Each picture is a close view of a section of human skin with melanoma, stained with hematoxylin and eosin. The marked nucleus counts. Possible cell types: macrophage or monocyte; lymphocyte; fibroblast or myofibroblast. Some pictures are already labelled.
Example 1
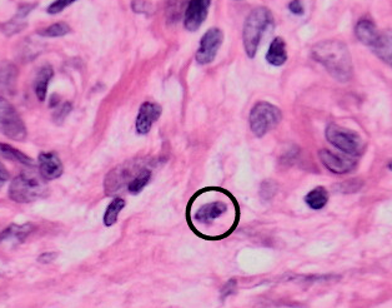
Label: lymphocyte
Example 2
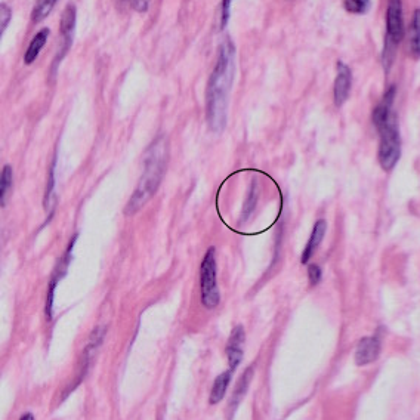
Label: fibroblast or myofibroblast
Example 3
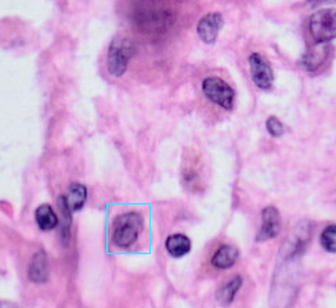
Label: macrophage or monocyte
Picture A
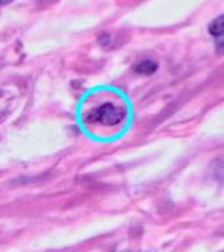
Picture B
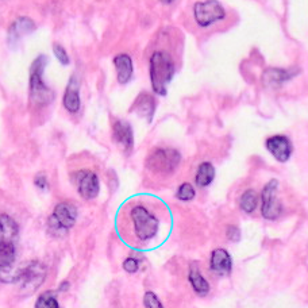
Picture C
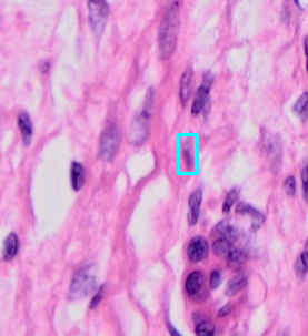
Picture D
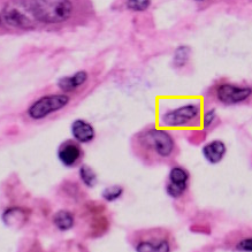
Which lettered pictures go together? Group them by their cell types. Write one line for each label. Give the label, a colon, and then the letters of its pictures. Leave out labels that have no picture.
macrophage or monocyte: A, B, D
fibroblast or myofibroblast: C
